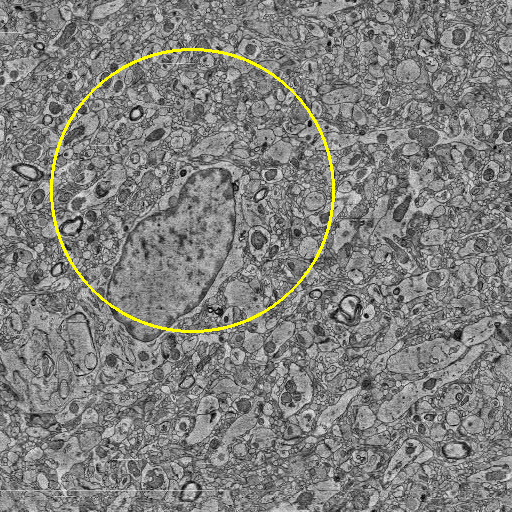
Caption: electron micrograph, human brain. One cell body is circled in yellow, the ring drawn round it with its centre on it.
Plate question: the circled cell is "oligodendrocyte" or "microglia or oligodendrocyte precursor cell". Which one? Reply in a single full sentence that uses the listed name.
The yellow ring on the plate is centred on a microglial cell or oligodendrocyte precursor cell, going by the listed names.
